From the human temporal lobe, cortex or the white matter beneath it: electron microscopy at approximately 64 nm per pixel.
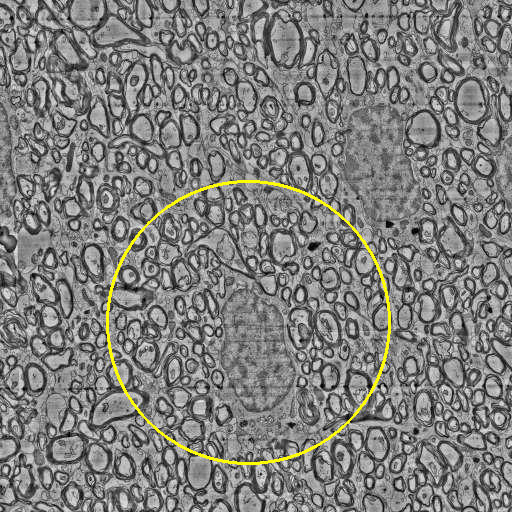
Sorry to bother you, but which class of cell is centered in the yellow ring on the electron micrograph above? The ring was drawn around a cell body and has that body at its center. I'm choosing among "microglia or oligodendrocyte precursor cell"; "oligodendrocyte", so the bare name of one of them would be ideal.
oligodendrocyte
